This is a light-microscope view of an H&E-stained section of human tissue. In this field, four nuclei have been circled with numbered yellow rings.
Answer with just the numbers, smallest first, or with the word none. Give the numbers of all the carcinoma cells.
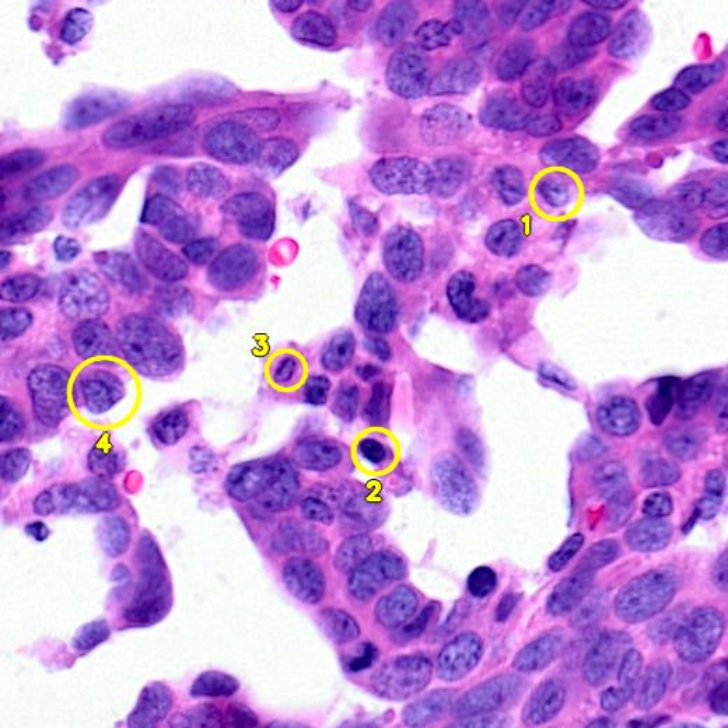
4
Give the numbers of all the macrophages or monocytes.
1, 3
